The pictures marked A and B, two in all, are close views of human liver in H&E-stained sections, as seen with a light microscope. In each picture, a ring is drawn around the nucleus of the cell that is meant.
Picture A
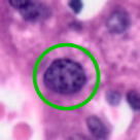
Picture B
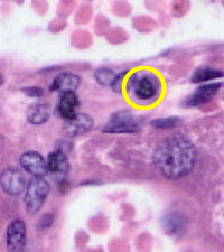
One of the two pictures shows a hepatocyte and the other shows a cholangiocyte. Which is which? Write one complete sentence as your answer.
It is picture A that shows a hepatocyte, and picture B that shows a cholangiocyte.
